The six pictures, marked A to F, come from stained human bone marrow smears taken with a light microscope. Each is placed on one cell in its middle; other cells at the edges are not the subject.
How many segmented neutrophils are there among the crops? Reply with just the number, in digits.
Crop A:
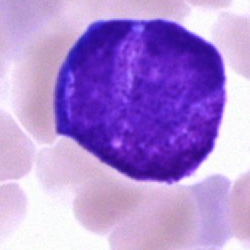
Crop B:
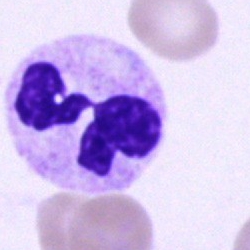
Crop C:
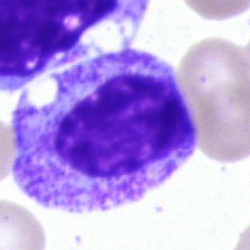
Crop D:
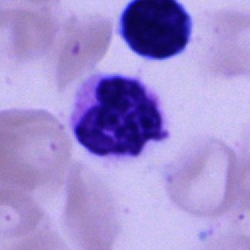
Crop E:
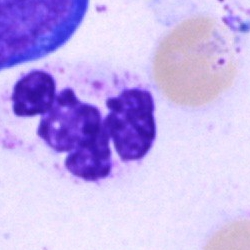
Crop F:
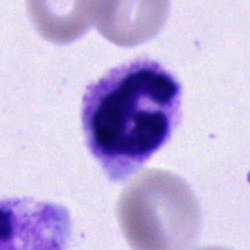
4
